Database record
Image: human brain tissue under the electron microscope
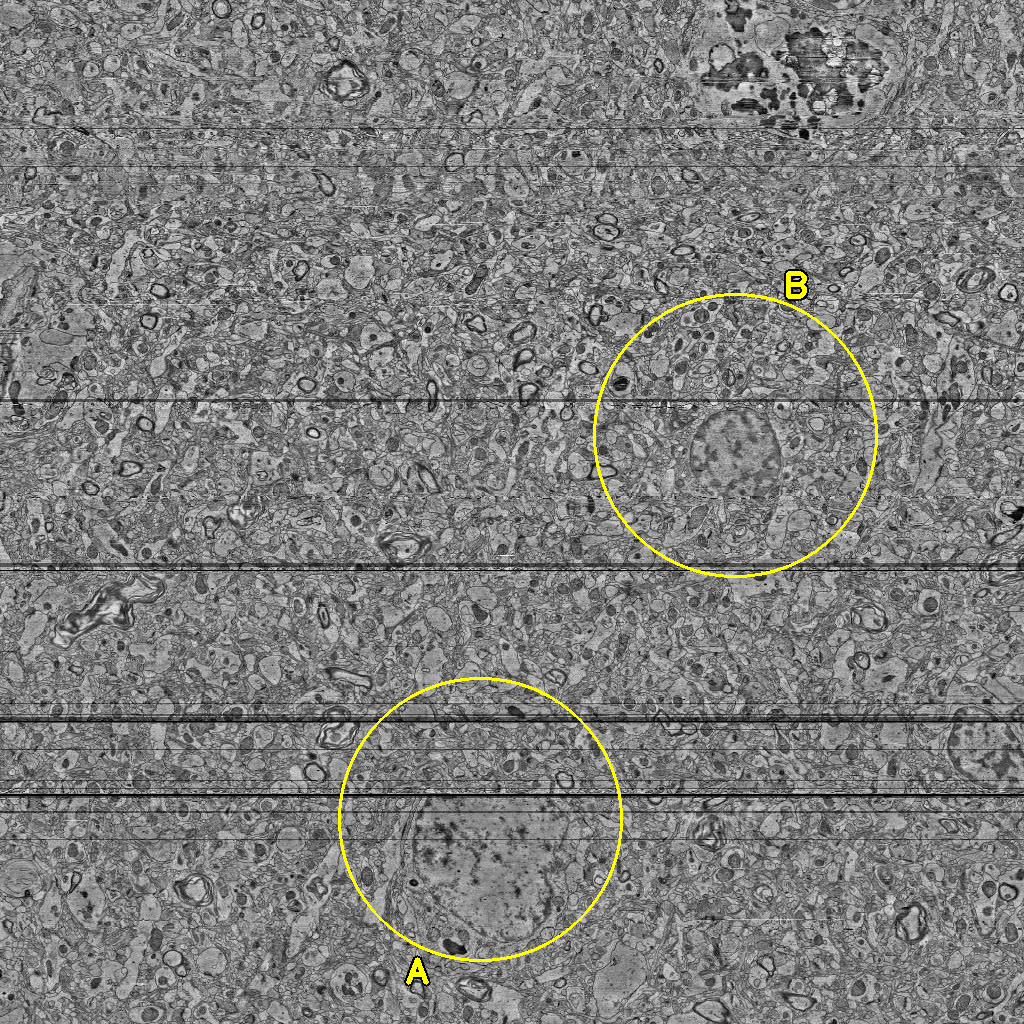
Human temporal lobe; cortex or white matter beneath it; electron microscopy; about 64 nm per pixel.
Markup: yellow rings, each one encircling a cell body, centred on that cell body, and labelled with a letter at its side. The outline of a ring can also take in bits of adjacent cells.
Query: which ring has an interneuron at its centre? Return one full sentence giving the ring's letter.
In this image, that kind of cell lies at the centre of the ring labelled A.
